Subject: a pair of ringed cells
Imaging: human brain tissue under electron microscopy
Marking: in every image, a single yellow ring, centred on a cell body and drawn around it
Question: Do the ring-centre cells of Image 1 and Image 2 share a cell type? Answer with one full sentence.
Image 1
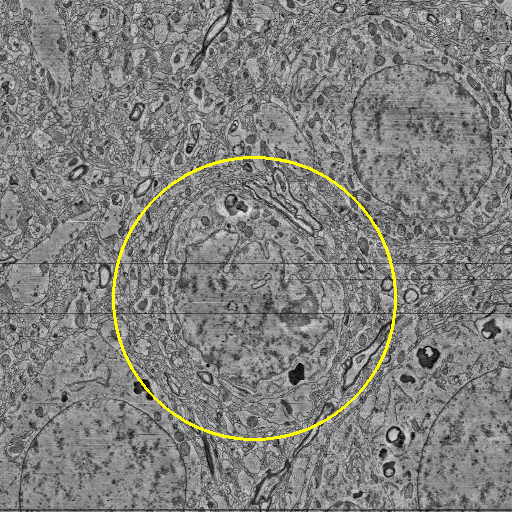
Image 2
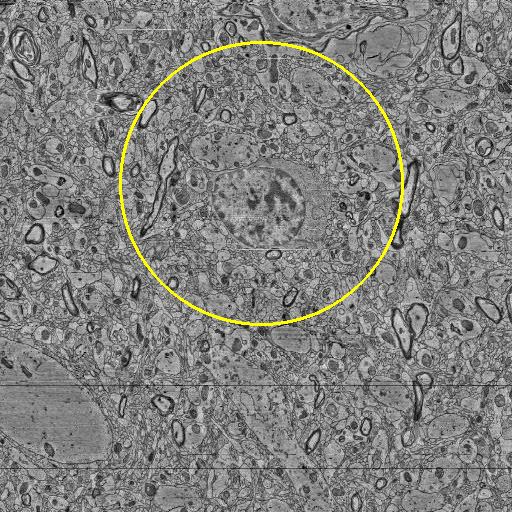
No, at the ring centres in the images sit cells of two separate types.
